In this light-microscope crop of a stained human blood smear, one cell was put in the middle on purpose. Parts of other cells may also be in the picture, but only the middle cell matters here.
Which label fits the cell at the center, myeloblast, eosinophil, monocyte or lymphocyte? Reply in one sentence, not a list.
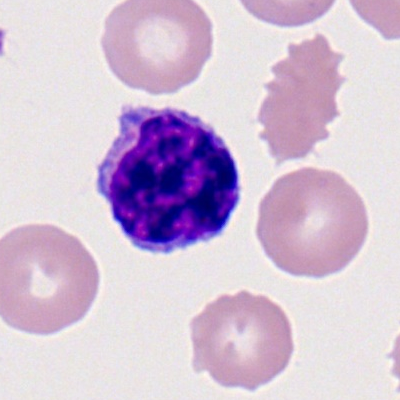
The cell at the middle of the crop is recognized as a lymphocyte.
